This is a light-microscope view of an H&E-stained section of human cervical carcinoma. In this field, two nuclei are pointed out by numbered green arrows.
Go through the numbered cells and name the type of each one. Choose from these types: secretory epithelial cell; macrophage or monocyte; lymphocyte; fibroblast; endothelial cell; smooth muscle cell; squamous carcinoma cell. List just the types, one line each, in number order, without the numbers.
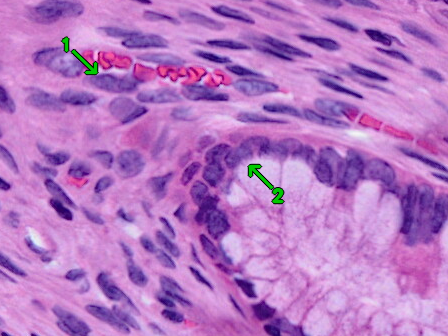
endothelial cell
secretory epithelial cell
